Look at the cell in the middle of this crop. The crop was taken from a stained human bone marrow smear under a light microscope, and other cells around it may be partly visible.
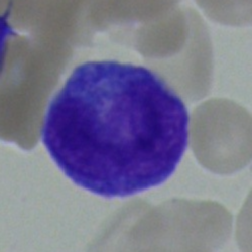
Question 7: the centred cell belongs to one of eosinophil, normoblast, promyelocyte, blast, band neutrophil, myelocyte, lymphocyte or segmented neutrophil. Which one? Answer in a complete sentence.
For this crop, the cell in the middle is a blast.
